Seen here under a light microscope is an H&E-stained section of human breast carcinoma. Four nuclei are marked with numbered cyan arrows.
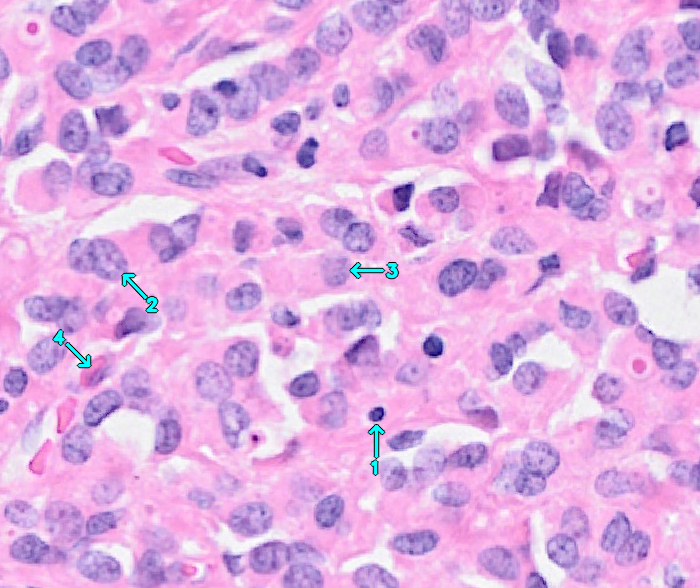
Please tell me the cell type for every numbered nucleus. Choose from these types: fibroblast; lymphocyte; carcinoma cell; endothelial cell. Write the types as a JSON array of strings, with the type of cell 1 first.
["lymphocyte", "carcinoma cell", "carcinoma cell", "endothelial cell"]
